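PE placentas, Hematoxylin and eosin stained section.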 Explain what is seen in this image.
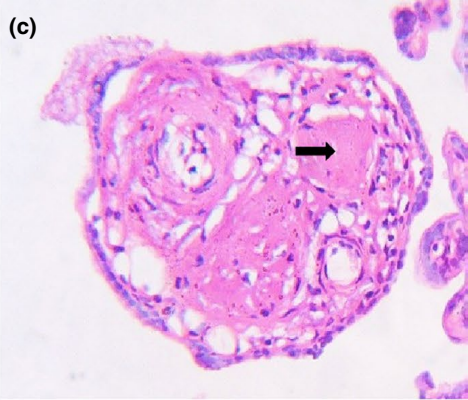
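A rounded stem villus is cut in cross section, bordered by a thin covering layer of trophoblast with small dark nuclei. Its stroma holds several vessels whose walls are thickened and stain pink. One vessel, marked by an arrow, is filled with homogeneous pink material and shows no open lumen. The surrounding stroma looks loose and vacuolated, with clear spaces between scattered nuclei. Parts of neighbouring villi appear at the edges of the field.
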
